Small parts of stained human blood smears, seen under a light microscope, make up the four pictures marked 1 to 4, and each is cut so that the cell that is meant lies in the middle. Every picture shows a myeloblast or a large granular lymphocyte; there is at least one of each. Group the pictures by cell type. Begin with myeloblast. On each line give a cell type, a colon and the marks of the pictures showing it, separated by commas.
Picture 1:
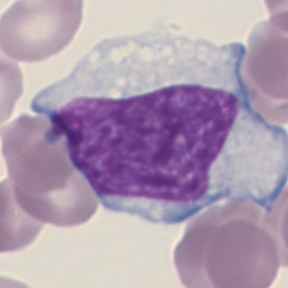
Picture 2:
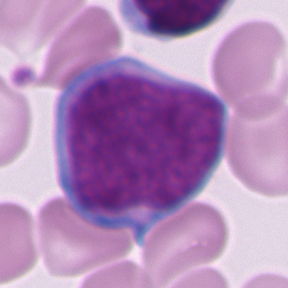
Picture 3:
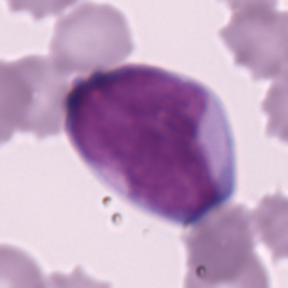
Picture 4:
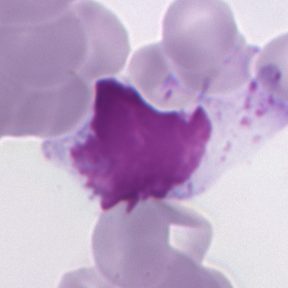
myeloblast: 1, 2, 3
large granular lymphocyte: 4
